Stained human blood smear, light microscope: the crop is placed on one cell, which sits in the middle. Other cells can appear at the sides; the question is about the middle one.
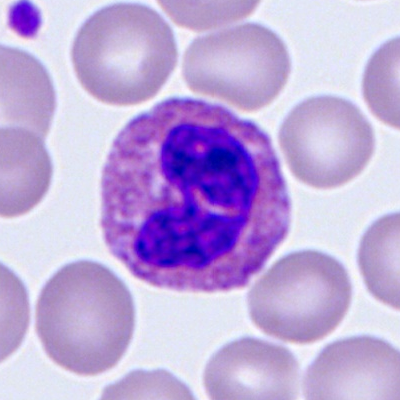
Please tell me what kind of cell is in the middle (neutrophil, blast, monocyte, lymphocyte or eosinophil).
eosinophil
